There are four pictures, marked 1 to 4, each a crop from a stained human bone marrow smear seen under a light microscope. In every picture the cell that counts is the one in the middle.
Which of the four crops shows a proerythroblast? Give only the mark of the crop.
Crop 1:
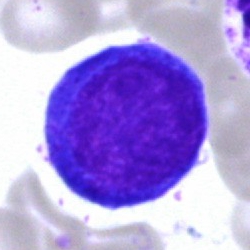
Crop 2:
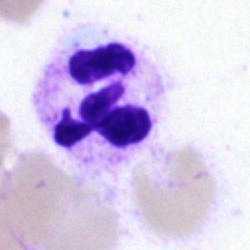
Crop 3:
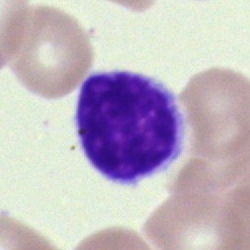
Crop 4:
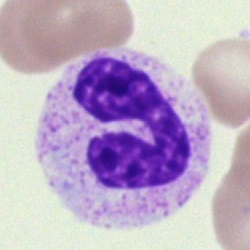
1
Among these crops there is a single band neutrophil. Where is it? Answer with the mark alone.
4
